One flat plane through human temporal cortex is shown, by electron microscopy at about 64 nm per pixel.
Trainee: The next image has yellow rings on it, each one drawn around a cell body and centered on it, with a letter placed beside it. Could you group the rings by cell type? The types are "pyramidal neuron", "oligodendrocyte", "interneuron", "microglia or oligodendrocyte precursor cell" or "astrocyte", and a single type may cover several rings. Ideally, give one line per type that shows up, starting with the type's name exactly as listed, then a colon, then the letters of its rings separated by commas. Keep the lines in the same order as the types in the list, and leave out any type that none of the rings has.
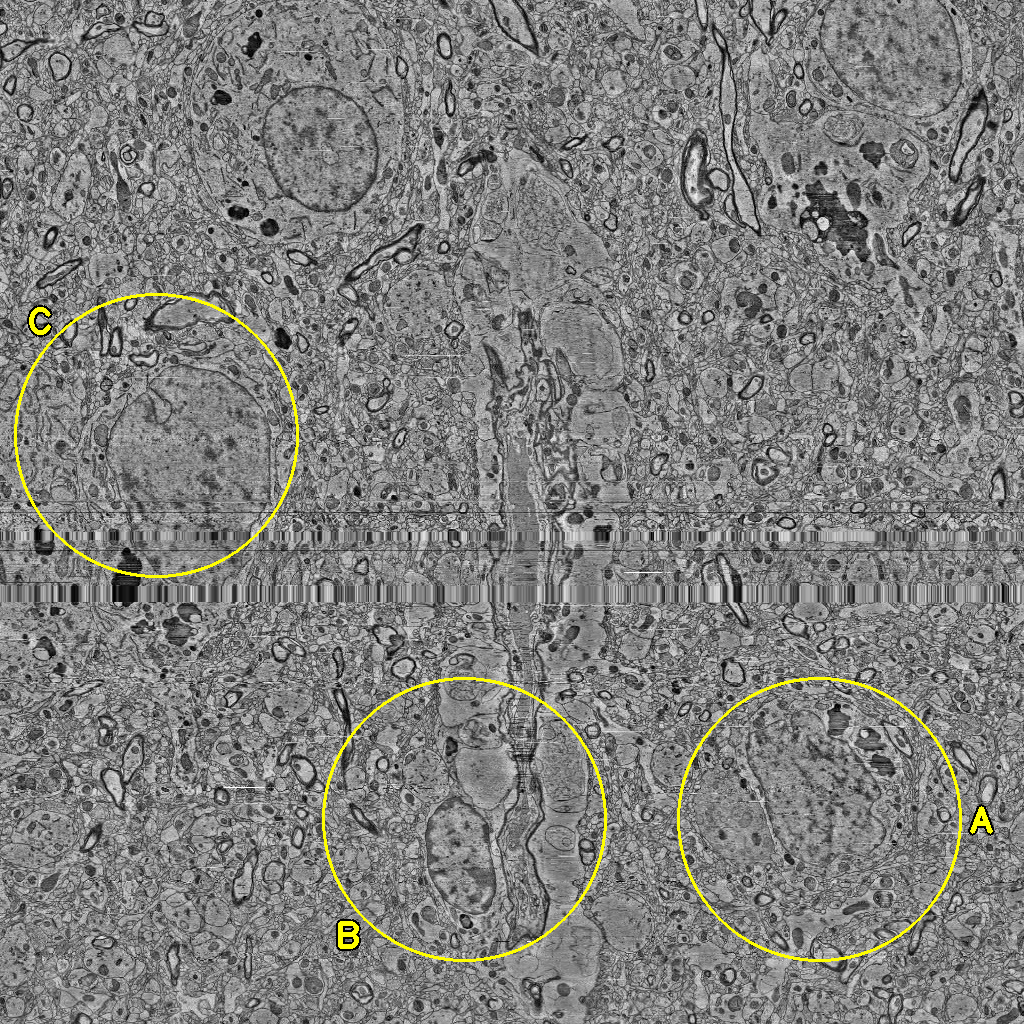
interneuron: A, C
microglia or oligodendrocyte precursor cell: B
